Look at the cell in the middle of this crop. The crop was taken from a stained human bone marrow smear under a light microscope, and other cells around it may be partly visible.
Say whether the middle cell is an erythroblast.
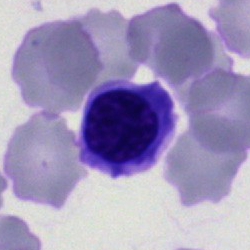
yes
